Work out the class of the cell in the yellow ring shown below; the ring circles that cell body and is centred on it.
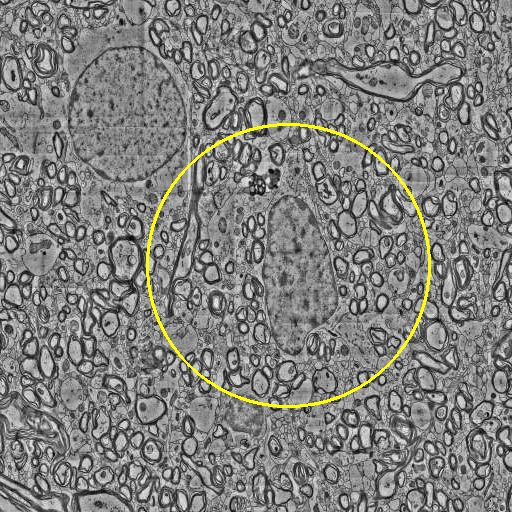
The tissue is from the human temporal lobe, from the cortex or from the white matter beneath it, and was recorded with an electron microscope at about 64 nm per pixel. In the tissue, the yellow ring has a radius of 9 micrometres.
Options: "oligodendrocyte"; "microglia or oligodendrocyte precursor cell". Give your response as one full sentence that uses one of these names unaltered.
The body ringed in yellow, right at the ring's centre, is that of a microglial cell or oligodendrocyte precursor cell.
